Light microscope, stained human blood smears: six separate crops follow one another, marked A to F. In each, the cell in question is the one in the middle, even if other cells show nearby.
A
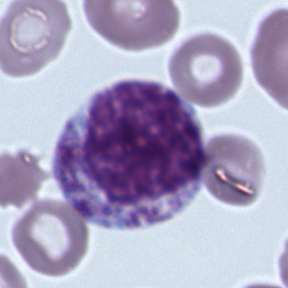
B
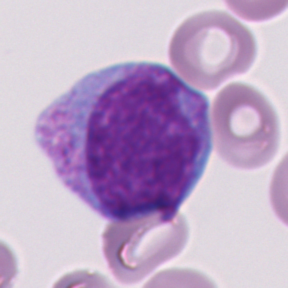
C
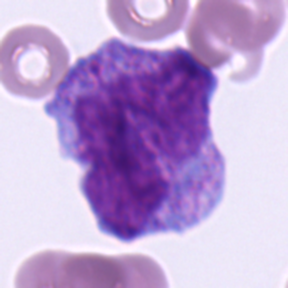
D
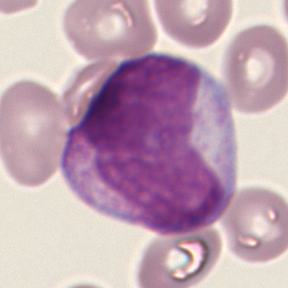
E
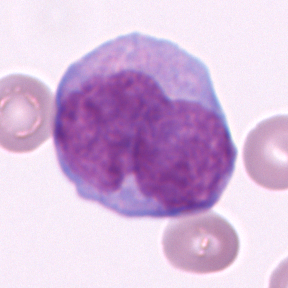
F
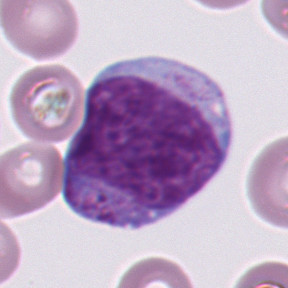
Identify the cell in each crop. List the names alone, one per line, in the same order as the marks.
myelocyte
atypical promyelocyte
atypical promyelocyte
atypical promyelocyte
atypical promyelocyte
atypical promyelocyte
